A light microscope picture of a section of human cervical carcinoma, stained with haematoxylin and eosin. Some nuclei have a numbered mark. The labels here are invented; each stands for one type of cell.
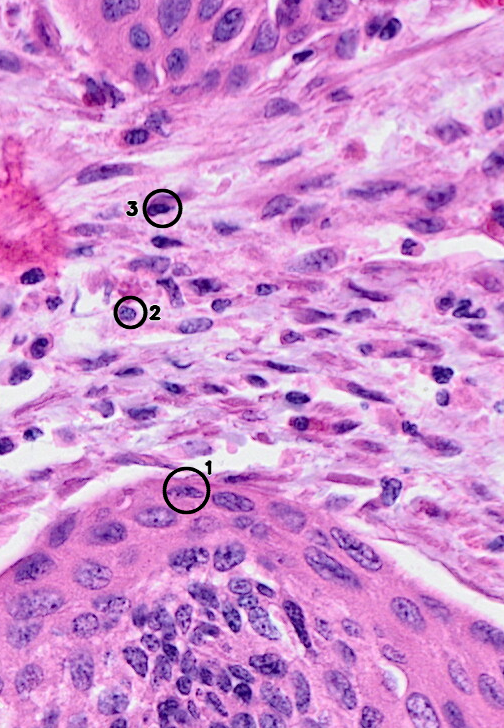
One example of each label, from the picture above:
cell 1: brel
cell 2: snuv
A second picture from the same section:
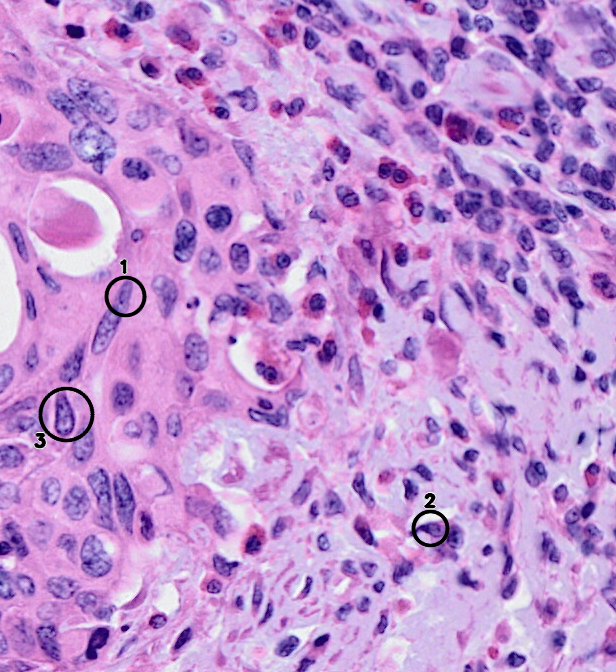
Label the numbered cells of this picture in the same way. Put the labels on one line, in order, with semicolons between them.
brel; snuv; brel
